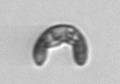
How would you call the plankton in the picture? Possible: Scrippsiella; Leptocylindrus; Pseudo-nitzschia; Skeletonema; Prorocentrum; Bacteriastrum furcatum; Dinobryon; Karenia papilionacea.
I would call it Karenia papilionacea.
